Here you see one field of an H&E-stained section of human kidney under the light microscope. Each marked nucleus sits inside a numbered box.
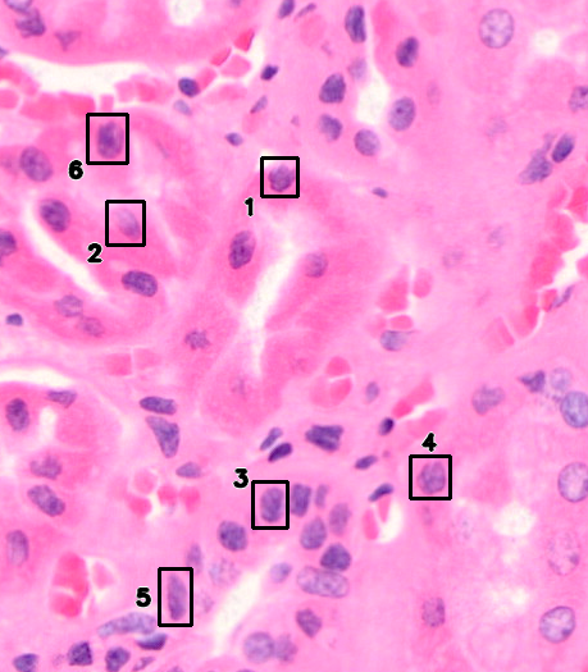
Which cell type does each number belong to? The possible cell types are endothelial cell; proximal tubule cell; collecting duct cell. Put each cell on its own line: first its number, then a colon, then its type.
1: proximal tubule cell
2: proximal tubule cell
3: collecting duct cell
4: proximal tubule cell
5: collecting duct cell
6: proximal tubule cell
